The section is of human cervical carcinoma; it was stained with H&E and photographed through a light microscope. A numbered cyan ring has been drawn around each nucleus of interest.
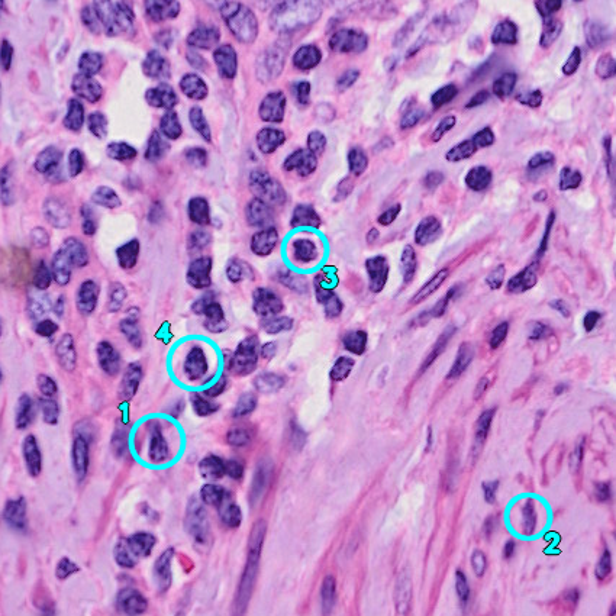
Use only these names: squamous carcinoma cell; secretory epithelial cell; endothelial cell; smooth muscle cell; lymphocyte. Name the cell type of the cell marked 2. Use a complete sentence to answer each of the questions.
Cell 2 in the field of view is a smooth muscle cell.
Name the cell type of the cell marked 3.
Marked with the number 3, this cell is a lymphocyte.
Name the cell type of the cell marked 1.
The label 1 in this section denotes a lymphocyte.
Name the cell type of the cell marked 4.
Among the marked nuclei, number 4 belongs to a lymphocyte.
